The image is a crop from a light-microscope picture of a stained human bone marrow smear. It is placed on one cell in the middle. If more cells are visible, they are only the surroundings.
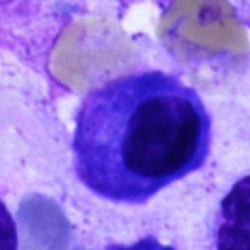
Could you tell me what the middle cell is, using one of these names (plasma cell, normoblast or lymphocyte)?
plasma cell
